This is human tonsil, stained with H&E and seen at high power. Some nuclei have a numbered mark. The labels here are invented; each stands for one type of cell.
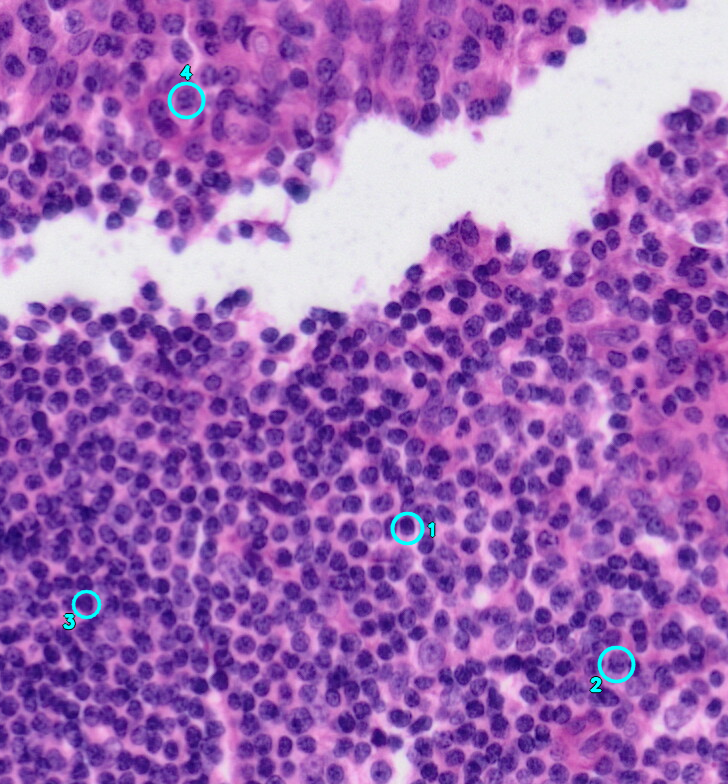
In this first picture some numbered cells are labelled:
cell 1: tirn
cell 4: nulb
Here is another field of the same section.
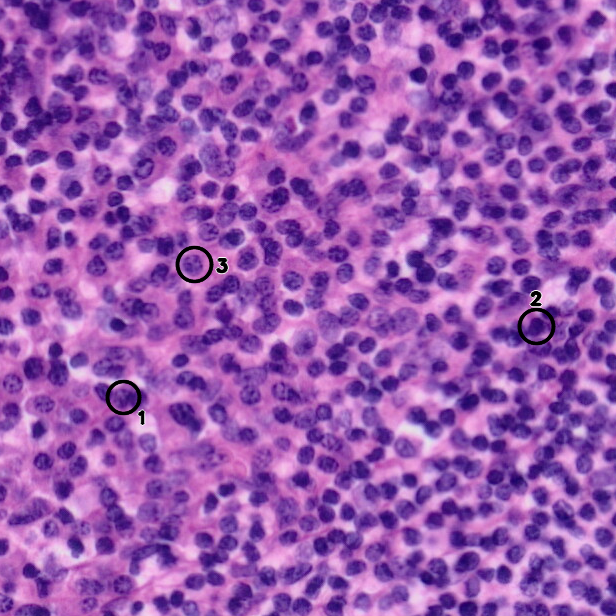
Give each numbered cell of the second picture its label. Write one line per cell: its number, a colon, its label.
1: nulb
2: tirn
3: nulb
